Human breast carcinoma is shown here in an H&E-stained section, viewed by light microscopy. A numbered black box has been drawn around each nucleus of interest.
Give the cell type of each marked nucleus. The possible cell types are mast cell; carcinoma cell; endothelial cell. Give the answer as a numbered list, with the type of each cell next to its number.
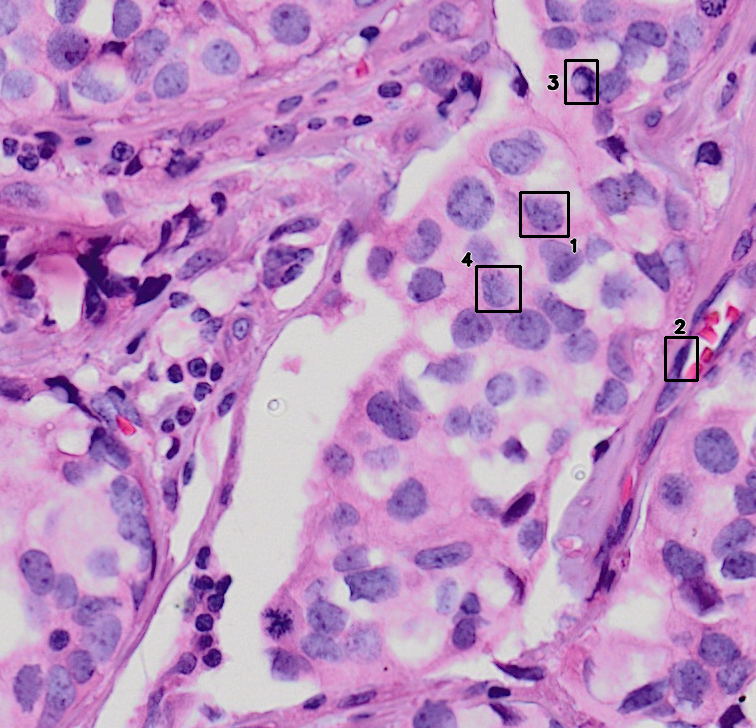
1. carcinoma cell
2. endothelial cell
3. carcinoma cell
4. carcinoma cell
